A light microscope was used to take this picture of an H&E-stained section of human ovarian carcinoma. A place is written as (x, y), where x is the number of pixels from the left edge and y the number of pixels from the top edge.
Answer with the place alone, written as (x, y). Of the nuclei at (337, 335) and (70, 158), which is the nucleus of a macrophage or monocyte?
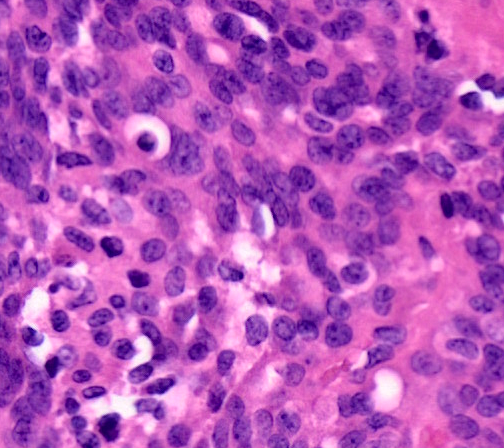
(70, 158)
